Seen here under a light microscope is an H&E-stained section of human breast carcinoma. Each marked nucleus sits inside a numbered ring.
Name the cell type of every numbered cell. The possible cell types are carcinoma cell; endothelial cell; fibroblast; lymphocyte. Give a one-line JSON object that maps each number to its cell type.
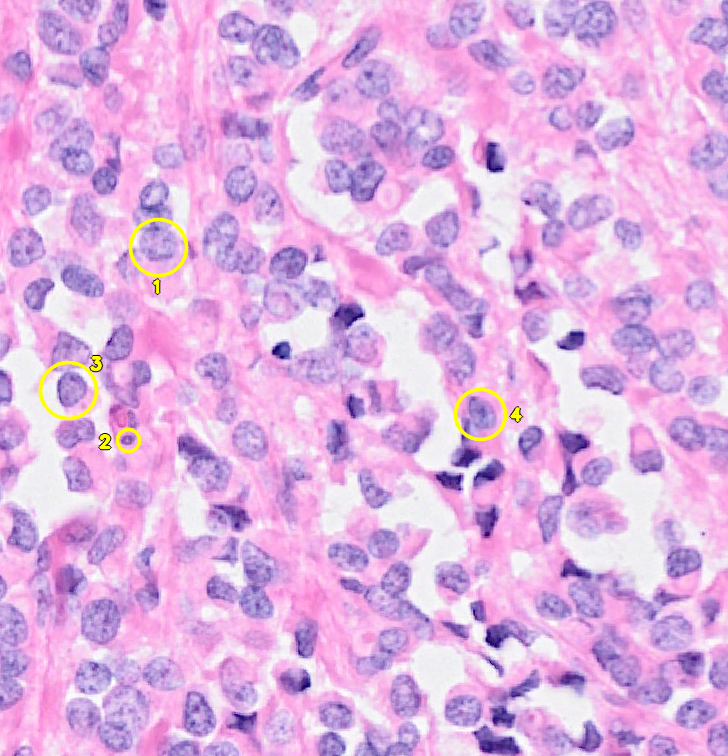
{"1": "carcinoma cell", "2": "endothelial cell", "3": "carcinoma cell", "4": "carcinoma cell"}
